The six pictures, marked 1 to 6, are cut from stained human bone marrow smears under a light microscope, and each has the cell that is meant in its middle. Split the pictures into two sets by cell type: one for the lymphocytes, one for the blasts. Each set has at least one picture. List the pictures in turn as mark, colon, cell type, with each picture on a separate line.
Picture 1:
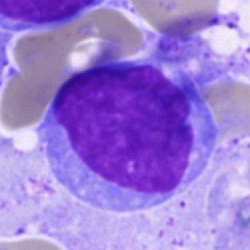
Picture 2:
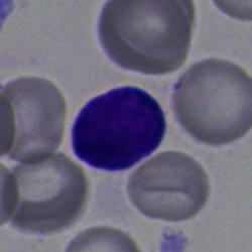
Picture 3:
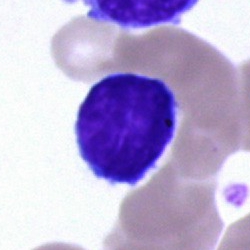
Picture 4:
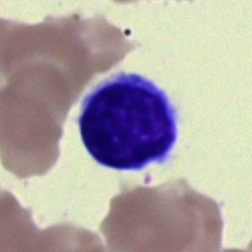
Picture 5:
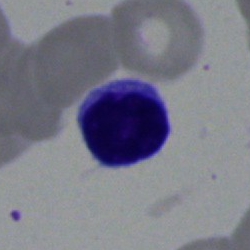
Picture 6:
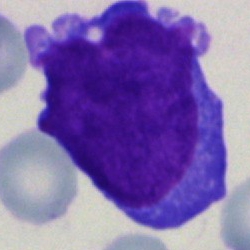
1: blast
2: lymphocyte
3: lymphocyte
4: lymphocyte
5: lymphocyte
6: blast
